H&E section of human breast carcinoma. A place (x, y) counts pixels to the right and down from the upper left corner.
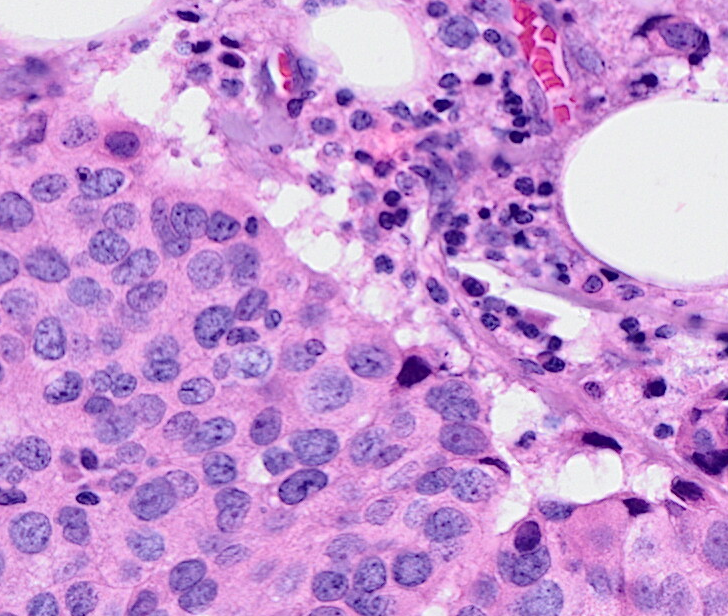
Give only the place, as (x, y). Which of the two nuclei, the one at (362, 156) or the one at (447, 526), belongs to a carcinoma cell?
(447, 526)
